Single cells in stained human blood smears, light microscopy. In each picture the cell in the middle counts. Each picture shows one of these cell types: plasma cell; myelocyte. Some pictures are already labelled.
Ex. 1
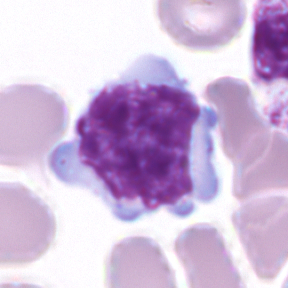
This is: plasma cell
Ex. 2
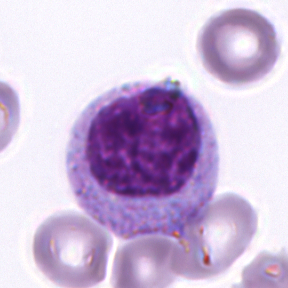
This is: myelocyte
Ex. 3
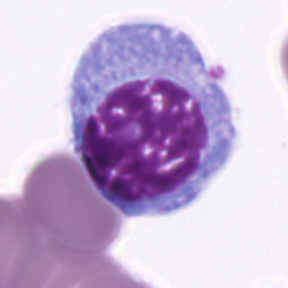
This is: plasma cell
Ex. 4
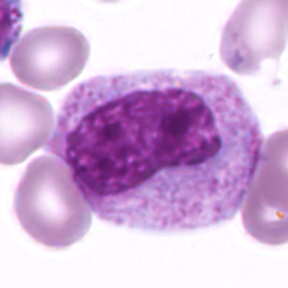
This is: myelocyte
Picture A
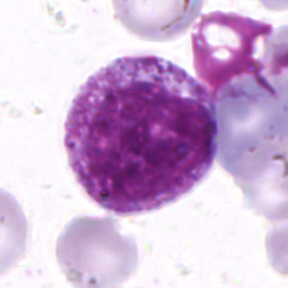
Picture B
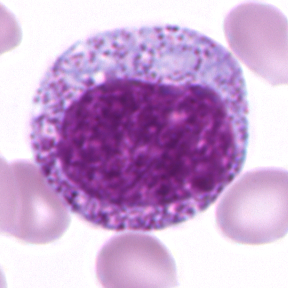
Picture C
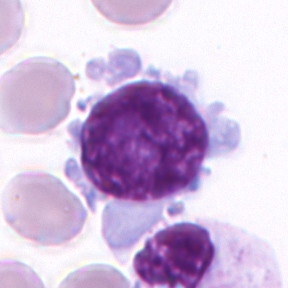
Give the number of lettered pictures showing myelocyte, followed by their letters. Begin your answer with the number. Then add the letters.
2, namely A, B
